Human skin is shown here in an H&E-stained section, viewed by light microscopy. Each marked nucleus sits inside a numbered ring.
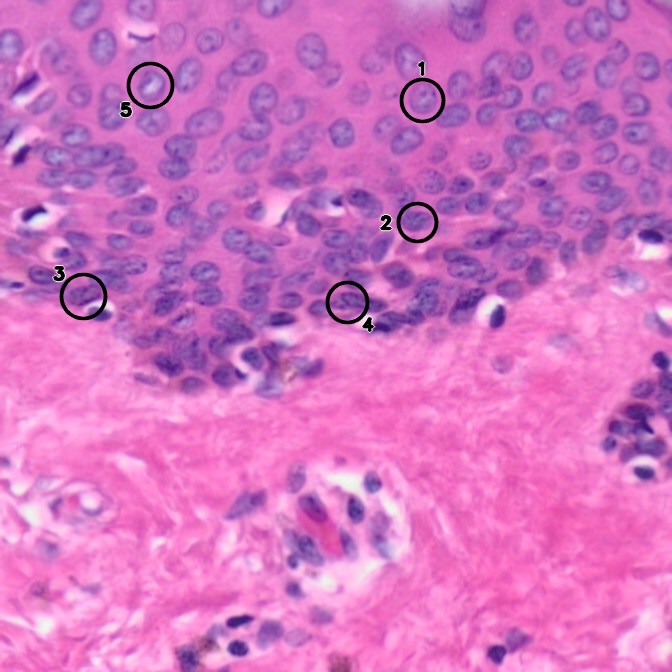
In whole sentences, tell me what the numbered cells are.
Cell 1 is a suprabasal keratinocyte, cell 2 is a basal keratinocyte, cell 3 is a basal keratinocyte, cell 4 is a basal keratinocyte and cell 5 is a suprabasal keratinocyte.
